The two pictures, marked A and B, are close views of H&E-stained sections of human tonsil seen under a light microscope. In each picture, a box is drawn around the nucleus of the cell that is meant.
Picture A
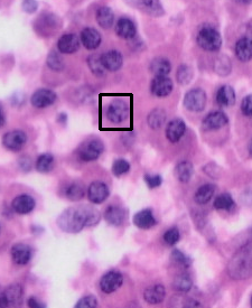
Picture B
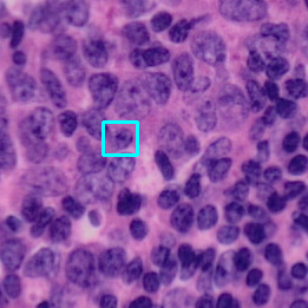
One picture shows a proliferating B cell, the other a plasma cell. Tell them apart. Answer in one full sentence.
Picture A is of a plasma cell, and picture B is of a proliferating B cell.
